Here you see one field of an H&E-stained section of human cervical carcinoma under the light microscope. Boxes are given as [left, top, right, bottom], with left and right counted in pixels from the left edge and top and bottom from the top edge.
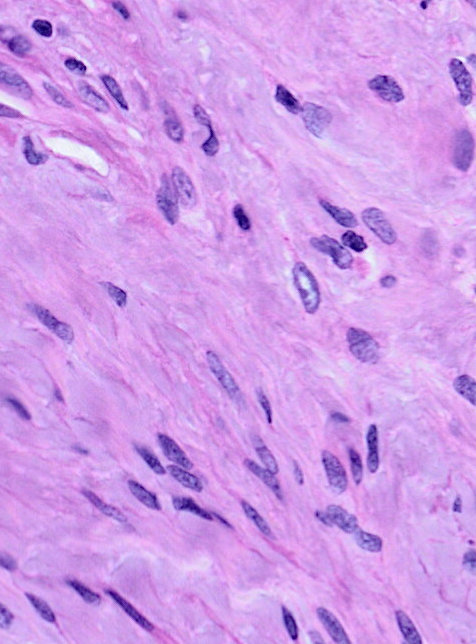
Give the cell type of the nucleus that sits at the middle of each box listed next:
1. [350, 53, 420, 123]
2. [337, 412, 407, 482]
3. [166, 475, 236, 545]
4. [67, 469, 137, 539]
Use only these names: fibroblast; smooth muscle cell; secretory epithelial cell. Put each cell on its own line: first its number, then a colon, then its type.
1: fibroblast
2: fibroblast
3: fibroblast
4: smooth muscle cell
